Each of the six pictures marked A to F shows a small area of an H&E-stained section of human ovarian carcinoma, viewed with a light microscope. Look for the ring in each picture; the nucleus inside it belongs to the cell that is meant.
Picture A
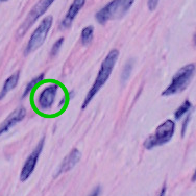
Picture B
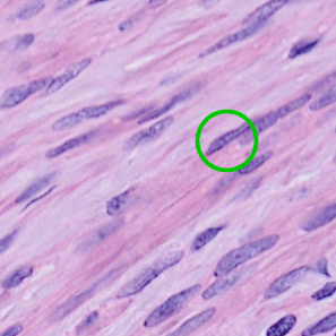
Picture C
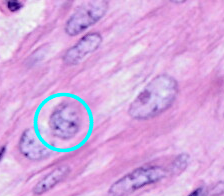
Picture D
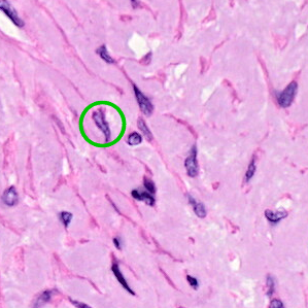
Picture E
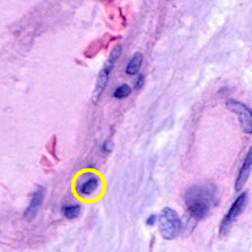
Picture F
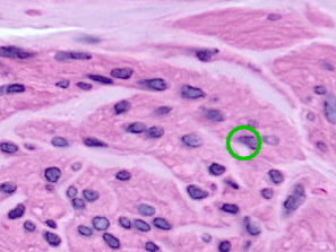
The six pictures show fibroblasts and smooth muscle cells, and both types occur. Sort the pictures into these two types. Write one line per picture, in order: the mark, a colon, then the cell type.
A: smooth muscle cell
B: smooth muscle cell
C: fibroblast
D: fibroblast
E: smooth muscle cell
F: smooth muscle cell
